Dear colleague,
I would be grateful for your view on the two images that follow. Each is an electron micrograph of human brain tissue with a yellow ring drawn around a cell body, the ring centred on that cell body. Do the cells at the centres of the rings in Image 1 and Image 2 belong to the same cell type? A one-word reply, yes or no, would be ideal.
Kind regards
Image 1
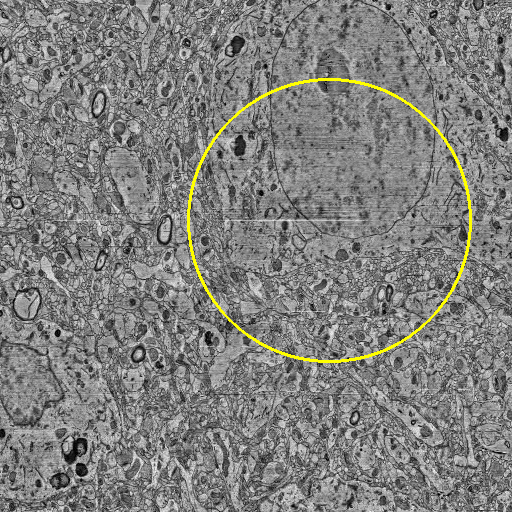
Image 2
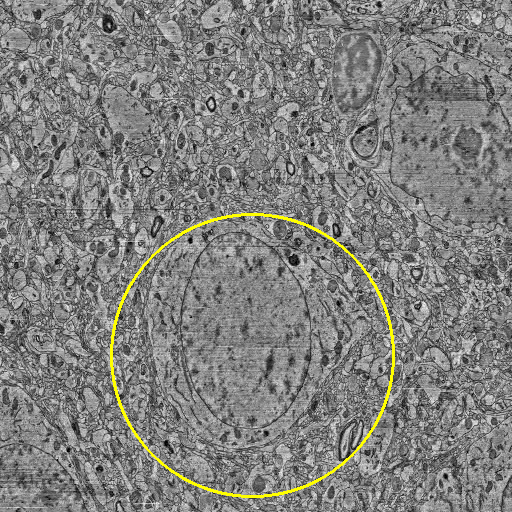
yes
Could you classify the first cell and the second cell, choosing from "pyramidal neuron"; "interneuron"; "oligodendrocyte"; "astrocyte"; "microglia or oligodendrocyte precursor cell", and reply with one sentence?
Each of the ringed cells, first and second, is a pyramidal neuron.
